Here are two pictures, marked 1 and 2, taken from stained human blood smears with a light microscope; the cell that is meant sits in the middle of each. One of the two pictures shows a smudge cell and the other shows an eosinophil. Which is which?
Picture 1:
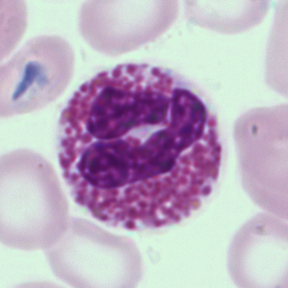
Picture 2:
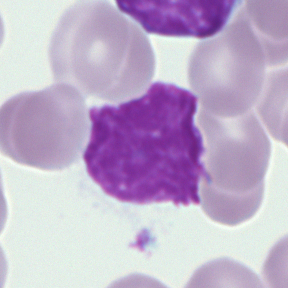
1: eosinophil
2: smudge cell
